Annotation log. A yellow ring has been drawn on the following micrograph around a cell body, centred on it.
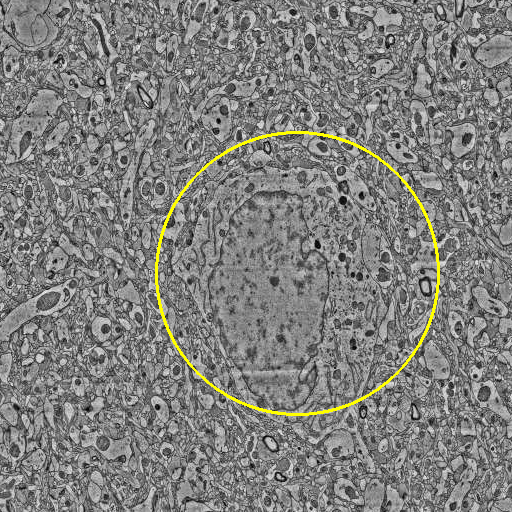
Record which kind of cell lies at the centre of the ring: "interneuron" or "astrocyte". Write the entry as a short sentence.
The cell the ring is centred on is an interneuron.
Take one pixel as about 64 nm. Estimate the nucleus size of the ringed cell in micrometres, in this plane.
The nucleus is about 14 micrometres in length and 8 in width, clearly longer than it is wide in this plane.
